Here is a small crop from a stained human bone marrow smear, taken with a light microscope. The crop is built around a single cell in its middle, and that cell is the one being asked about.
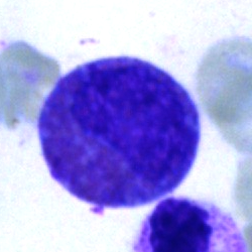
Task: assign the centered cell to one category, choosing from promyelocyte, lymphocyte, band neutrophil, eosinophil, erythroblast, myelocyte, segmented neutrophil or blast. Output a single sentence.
The cell centred in this crop is categorized as an eosinophil.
